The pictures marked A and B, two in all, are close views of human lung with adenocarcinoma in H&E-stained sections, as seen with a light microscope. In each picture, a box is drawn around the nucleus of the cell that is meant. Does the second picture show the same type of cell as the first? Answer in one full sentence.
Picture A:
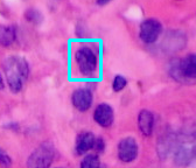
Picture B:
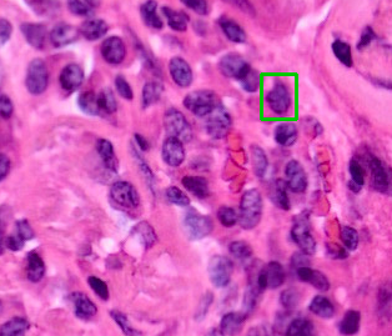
No, they differ: the cell is a lymphocyte in picture A and a plasma cell in picture B.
